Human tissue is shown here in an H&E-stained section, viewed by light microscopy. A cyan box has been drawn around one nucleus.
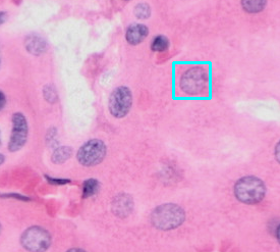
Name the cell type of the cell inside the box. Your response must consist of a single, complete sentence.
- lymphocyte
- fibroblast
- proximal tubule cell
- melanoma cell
The identity of the cell inside the box: it is a proximal tubule cell.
